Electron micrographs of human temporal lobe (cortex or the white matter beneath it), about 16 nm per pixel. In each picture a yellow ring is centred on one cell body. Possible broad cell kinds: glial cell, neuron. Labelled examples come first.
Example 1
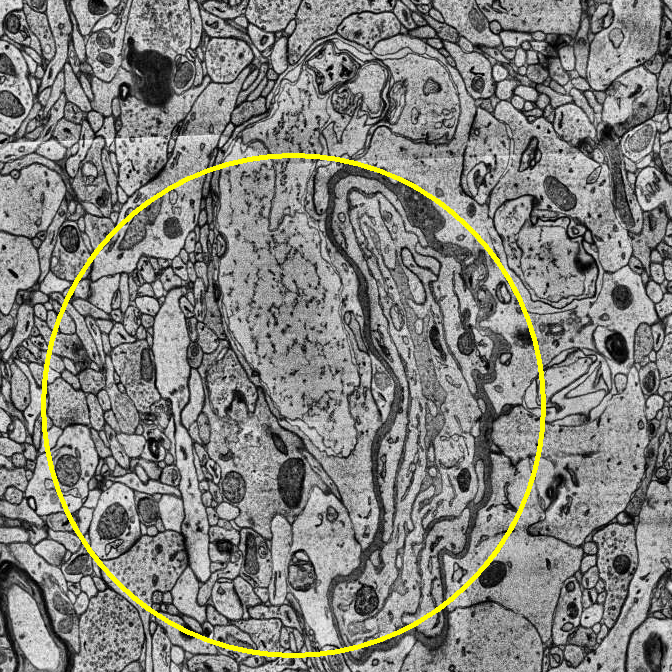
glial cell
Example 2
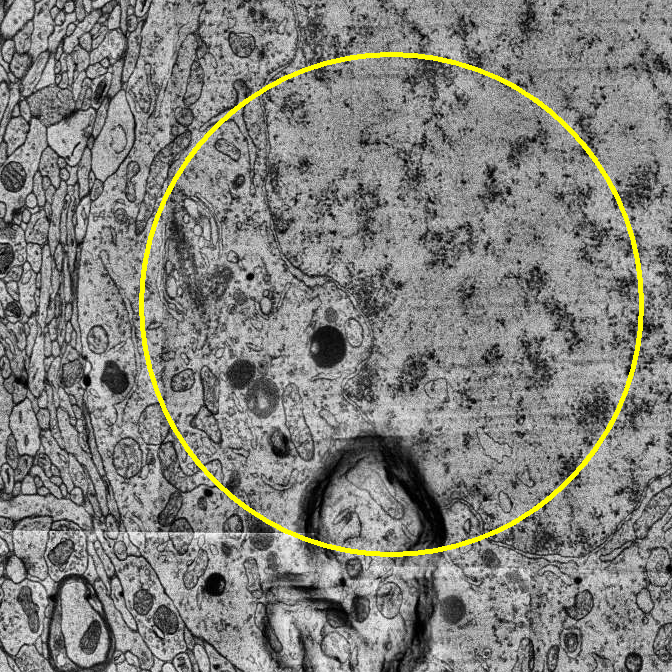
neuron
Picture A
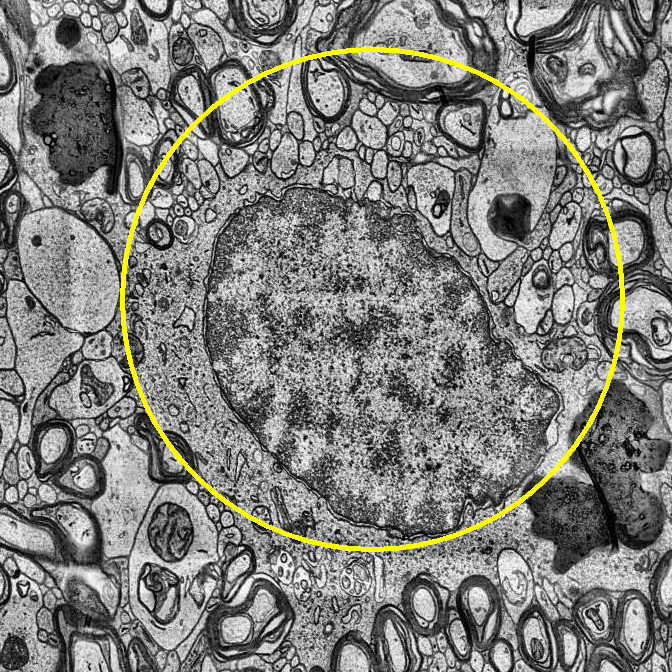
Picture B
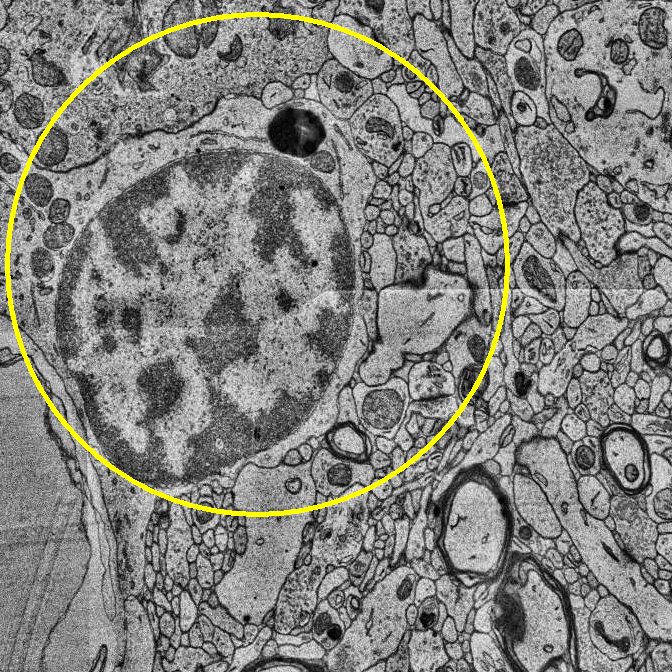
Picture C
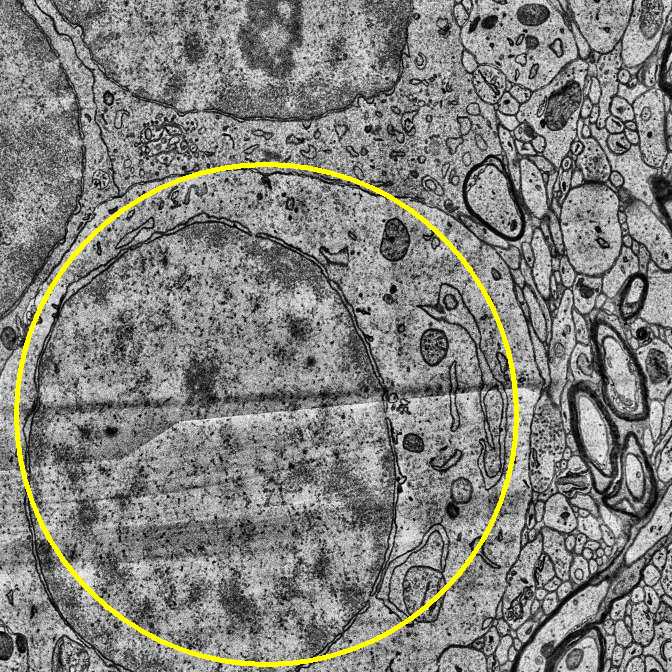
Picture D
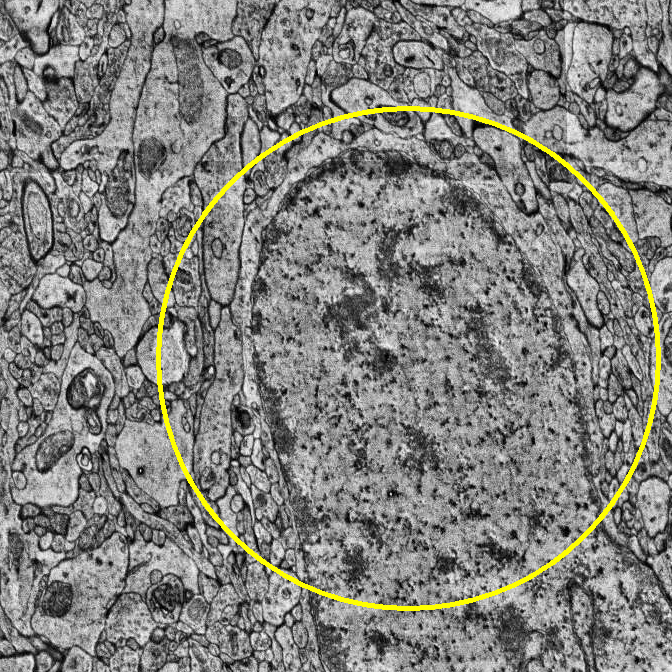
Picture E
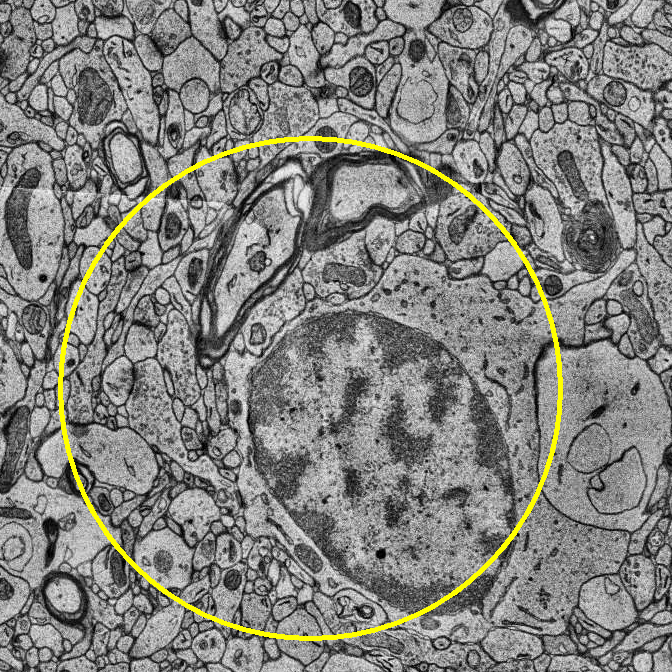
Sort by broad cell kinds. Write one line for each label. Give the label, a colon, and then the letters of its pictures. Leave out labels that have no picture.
glial cell: A, B, D, E
neuron: C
